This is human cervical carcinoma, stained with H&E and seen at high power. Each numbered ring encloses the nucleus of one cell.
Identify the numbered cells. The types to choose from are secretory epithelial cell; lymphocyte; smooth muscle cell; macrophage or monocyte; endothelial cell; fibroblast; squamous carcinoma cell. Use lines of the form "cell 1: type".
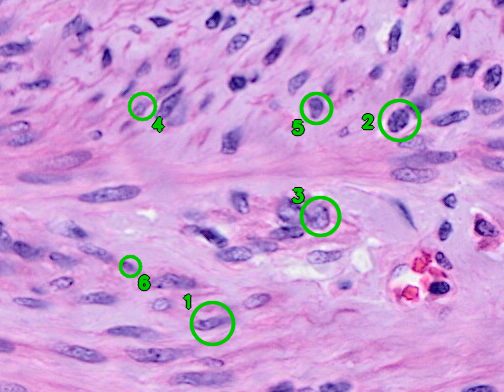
cell 1: smooth muscle cell
cell 2: lymphocyte
cell 3: endothelial cell
cell 4: smooth muscle cell
cell 5: smooth muscle cell
cell 6: smooth muscle cell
